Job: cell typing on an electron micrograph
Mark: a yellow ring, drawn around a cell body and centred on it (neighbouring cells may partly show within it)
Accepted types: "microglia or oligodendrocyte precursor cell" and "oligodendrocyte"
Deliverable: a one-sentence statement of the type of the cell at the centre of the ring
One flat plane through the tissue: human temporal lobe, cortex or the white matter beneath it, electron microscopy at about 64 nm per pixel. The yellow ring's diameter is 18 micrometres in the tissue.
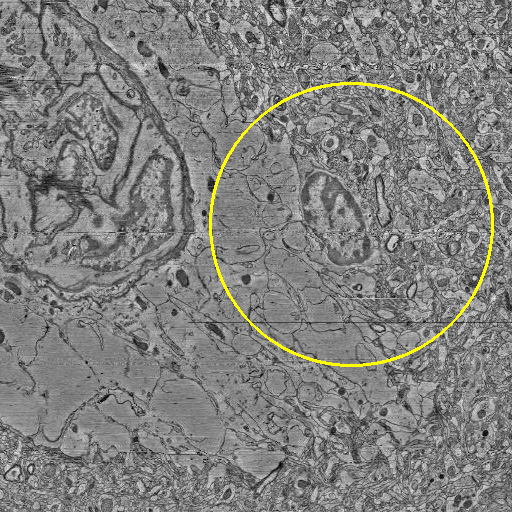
The centred cell body is that of a microglial cell or oligodendrocyte precursor cell.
